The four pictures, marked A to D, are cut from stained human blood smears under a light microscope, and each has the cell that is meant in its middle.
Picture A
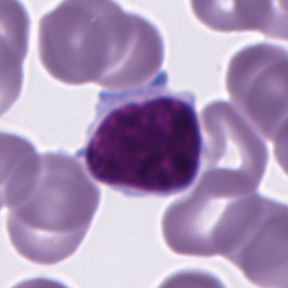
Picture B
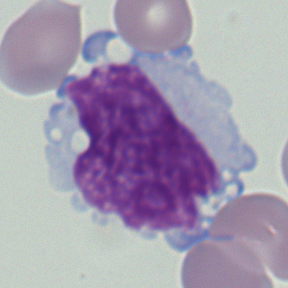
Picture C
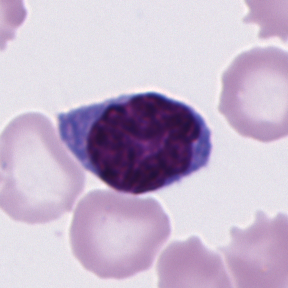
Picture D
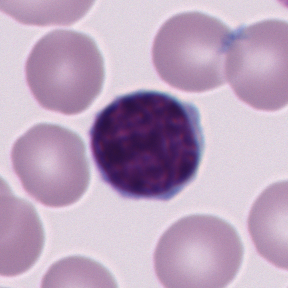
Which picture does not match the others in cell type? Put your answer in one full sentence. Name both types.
Picture B is the odd one out: it shows a myeloblast, while the others show typical lymphocytes.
